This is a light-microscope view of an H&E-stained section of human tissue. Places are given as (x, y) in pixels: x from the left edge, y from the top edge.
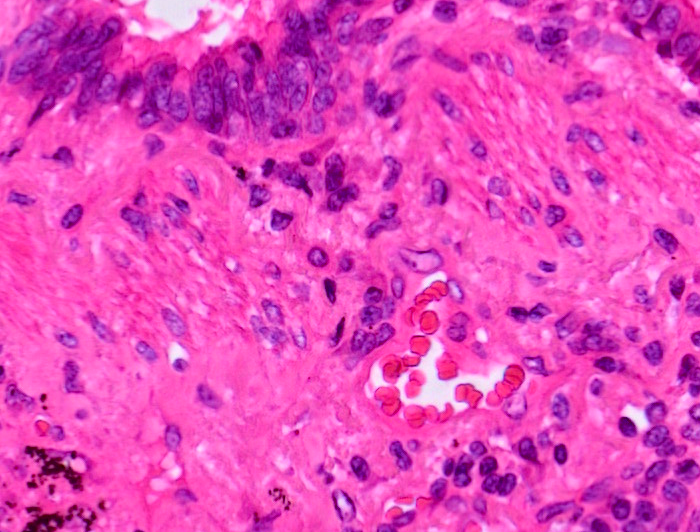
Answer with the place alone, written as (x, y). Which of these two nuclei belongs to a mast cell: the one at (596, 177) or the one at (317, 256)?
(317, 256)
